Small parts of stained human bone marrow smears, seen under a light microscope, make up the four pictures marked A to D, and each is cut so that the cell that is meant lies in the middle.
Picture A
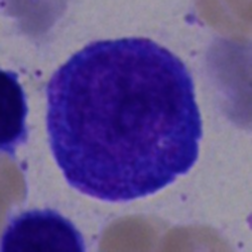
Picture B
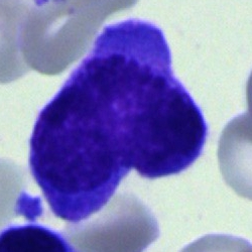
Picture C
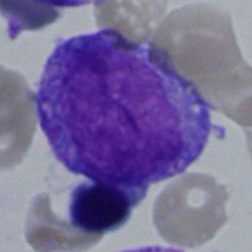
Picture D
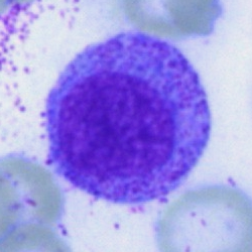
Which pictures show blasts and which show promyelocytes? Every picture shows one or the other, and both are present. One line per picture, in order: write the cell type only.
promyelocyte
blast
promyelocyte
promyelocyte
